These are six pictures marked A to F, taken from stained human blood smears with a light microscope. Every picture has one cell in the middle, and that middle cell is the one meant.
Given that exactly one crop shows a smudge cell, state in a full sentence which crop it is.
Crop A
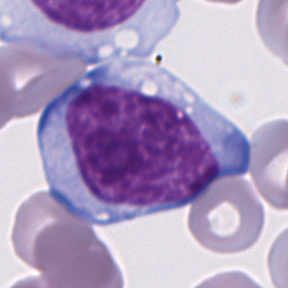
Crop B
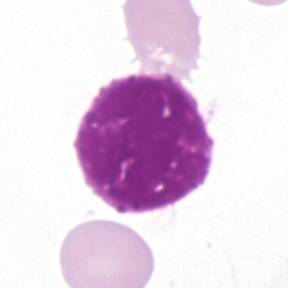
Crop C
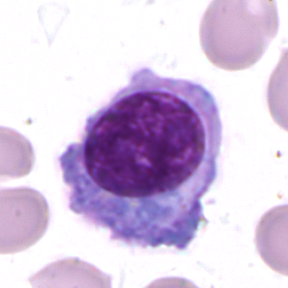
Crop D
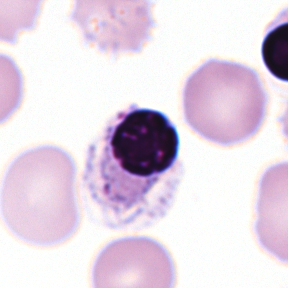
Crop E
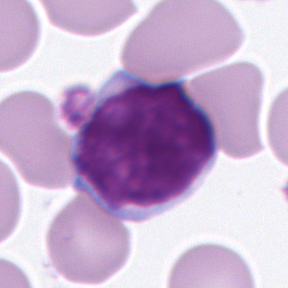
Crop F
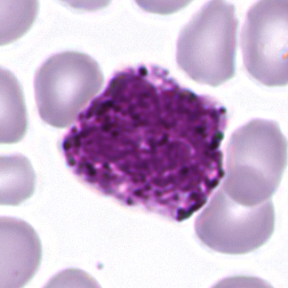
Of these crops, it is crop B that shows a smudge cell.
